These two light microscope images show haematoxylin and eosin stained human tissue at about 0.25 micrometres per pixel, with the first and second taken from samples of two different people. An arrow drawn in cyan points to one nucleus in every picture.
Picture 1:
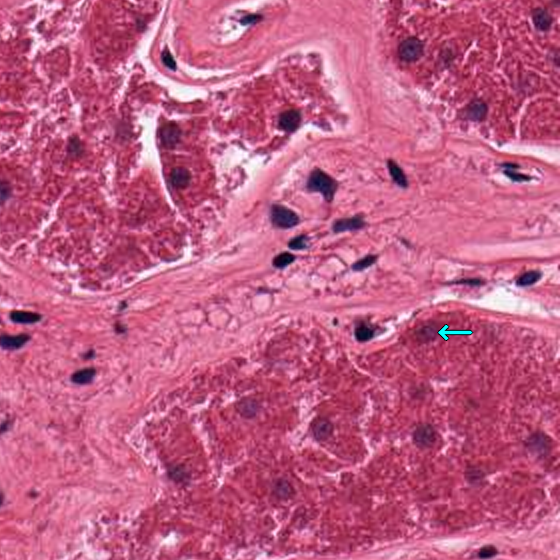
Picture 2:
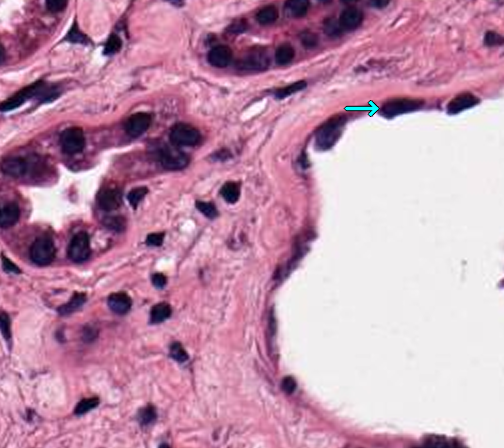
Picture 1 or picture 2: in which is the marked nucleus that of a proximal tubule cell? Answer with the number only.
1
